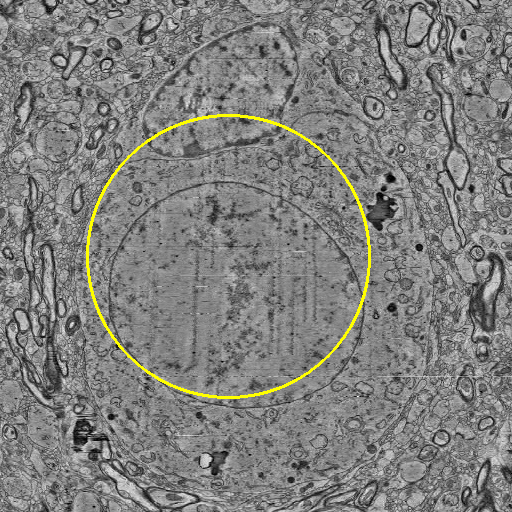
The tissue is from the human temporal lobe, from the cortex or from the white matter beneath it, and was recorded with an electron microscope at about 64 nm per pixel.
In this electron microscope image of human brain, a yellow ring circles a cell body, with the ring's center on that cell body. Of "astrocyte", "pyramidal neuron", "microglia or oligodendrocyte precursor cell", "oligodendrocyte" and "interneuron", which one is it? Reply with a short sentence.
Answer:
It is a pyramidal neuron at the center of the ring.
